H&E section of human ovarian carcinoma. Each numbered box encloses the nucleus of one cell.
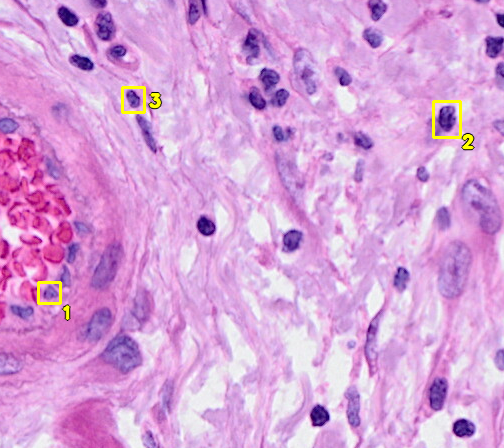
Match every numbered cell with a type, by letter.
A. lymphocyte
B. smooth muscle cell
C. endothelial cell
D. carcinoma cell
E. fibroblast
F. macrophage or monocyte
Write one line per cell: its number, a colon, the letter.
1: C
2: A
3: A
